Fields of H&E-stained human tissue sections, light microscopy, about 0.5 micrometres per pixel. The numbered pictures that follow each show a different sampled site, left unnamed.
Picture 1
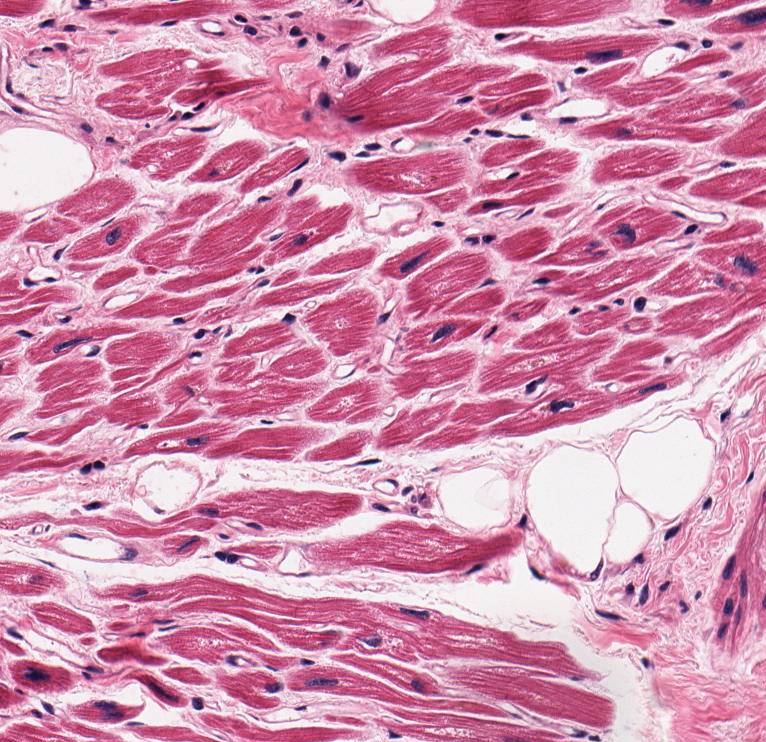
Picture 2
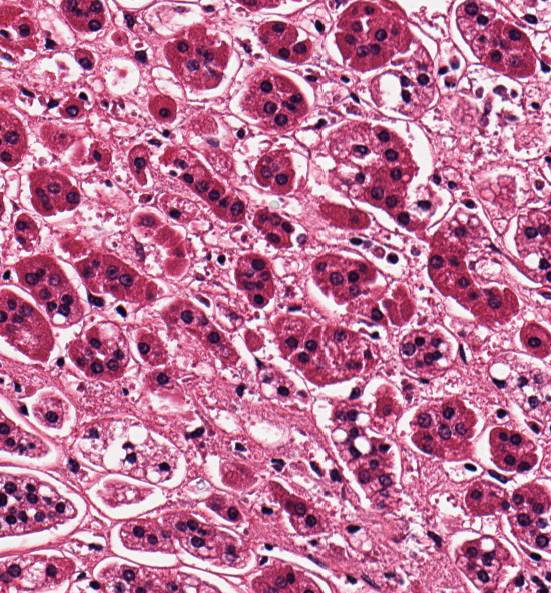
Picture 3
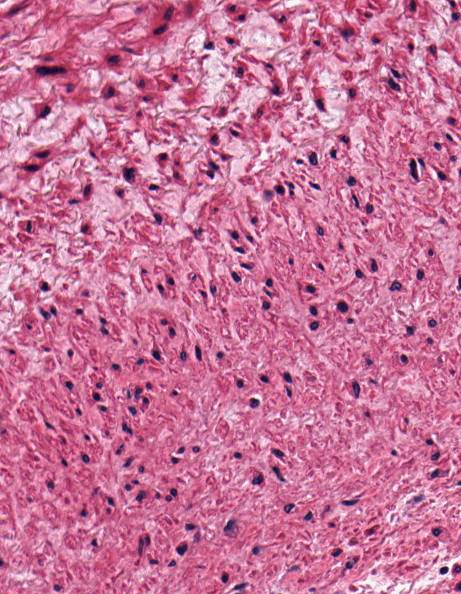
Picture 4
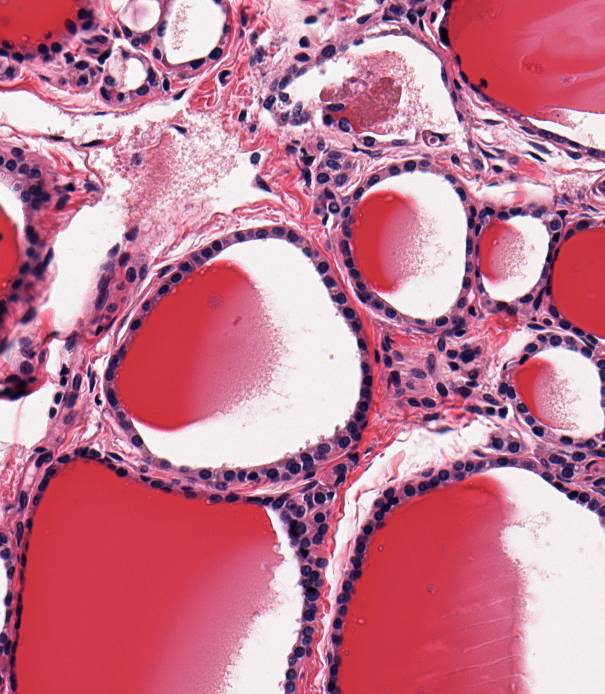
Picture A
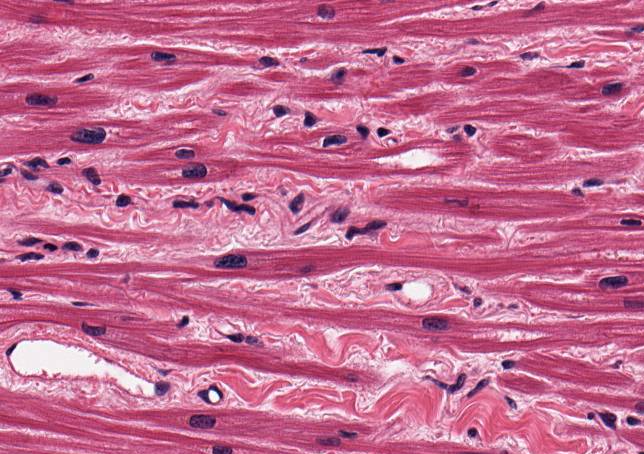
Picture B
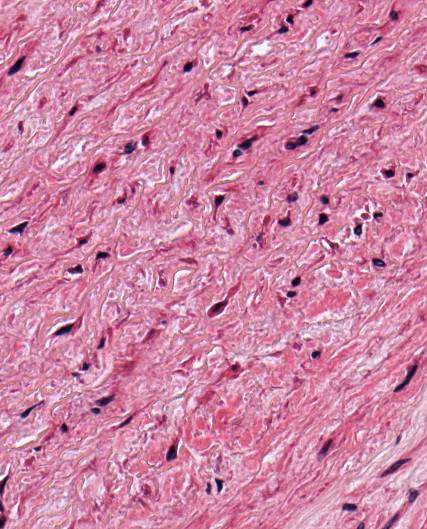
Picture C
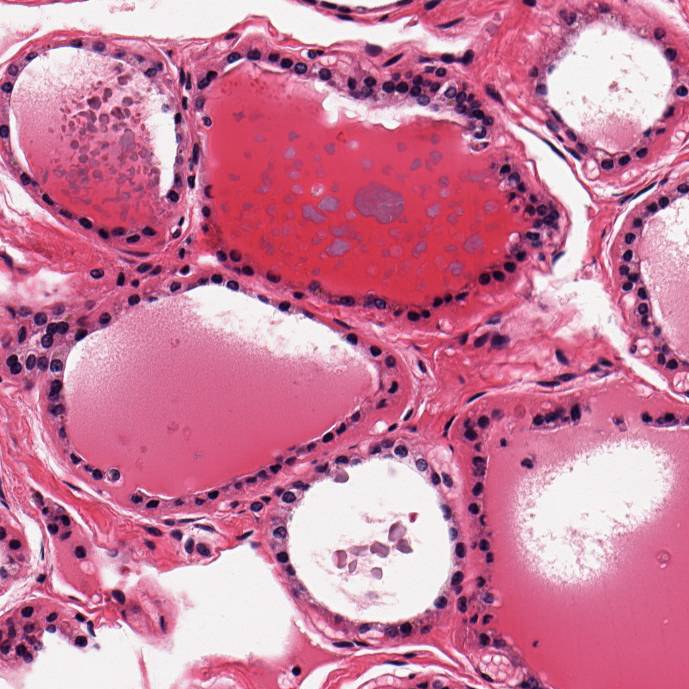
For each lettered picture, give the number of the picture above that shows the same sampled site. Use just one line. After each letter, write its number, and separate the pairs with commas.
A 1, B 3, C 4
